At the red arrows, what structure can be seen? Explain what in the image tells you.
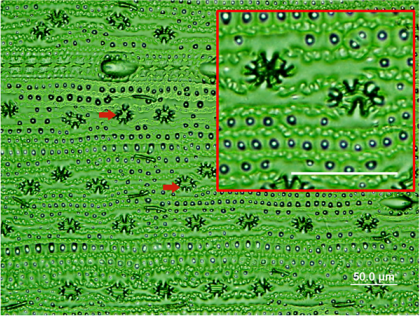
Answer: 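Small star-shaped structures recur at intervals along rows. The inset shows each with a central pore ringed by projections. The answer: stomata.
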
